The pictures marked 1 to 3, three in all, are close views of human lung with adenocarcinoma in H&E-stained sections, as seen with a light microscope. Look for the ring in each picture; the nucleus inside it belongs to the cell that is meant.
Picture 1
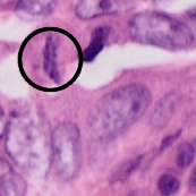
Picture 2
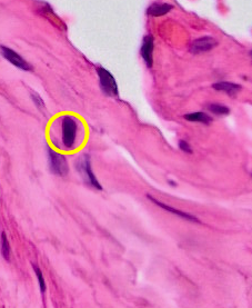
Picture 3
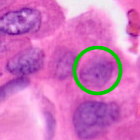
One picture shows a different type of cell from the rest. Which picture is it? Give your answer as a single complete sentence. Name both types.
The others show carcinoma cells, but picture 2 shows a mast cell.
